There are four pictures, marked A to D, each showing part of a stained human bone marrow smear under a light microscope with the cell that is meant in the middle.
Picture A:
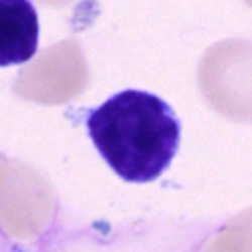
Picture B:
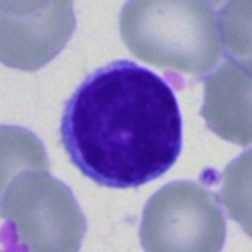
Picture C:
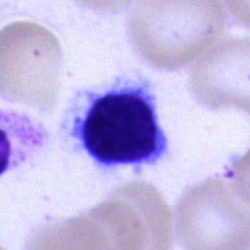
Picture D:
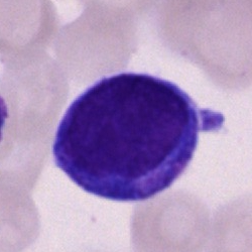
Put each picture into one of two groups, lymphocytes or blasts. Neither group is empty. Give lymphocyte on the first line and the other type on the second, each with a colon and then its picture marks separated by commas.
lymphocyte: A, B, C
blast: D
